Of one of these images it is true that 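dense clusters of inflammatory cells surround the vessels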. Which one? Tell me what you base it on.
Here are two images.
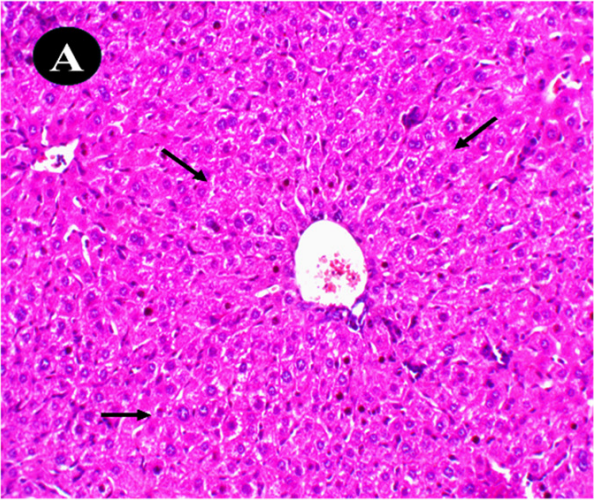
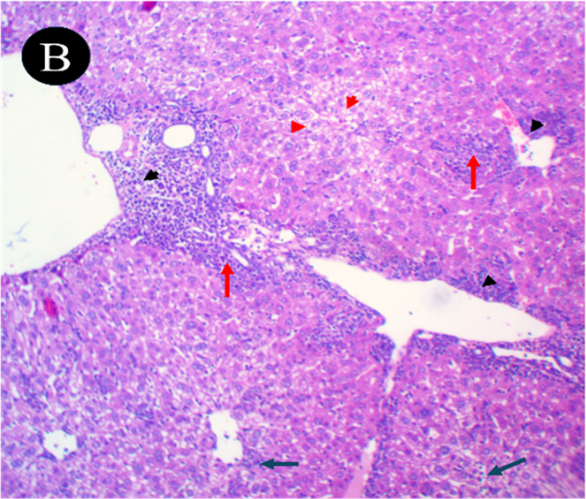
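Second image: crowded small dark nuclei gather around the large vessels and extend into the parenchyma. First image: the hepatocyte cords around the central vessel are regular, without clusters of small dark cells. That points to this answer: the second image.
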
